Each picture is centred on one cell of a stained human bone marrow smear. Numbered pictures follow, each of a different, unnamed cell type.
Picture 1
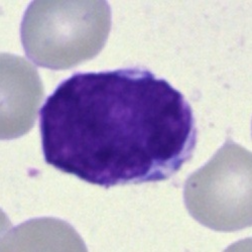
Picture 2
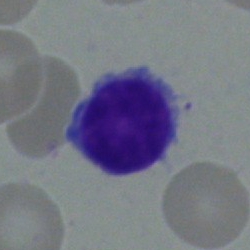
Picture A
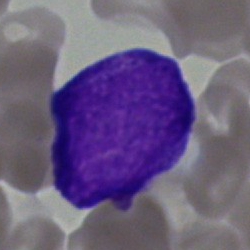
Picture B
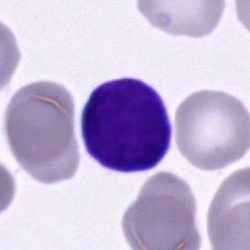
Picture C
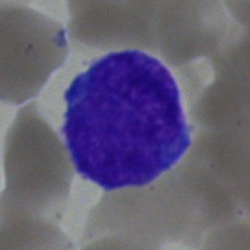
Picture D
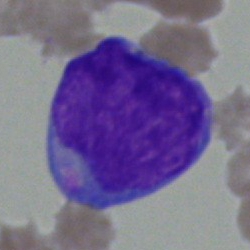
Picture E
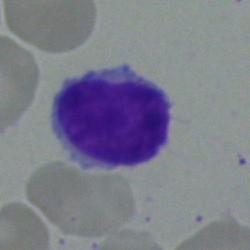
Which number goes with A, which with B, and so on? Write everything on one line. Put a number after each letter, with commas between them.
A 1, B 2, C 1, D 1, E 2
